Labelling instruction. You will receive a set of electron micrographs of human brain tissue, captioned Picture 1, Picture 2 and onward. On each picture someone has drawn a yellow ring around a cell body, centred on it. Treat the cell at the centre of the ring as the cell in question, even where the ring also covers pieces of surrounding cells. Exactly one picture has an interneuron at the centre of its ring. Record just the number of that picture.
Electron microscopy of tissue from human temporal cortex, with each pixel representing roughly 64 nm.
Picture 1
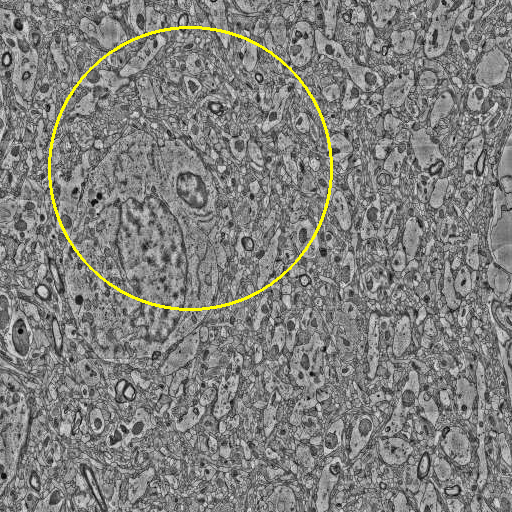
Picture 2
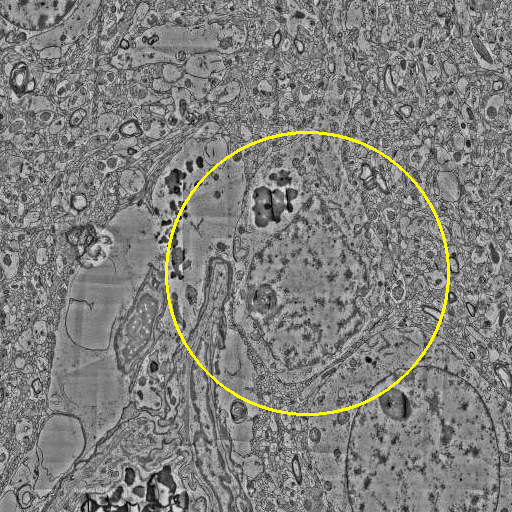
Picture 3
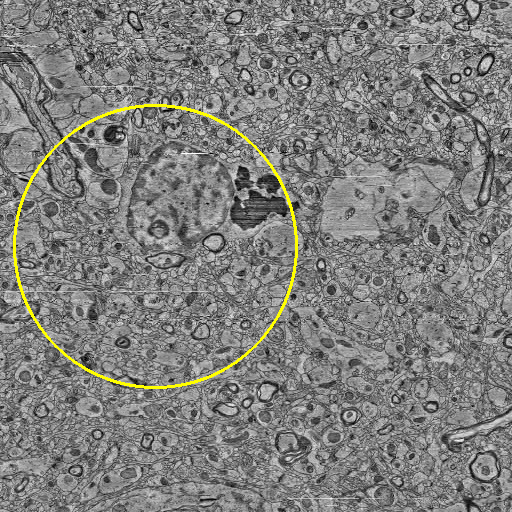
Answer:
2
